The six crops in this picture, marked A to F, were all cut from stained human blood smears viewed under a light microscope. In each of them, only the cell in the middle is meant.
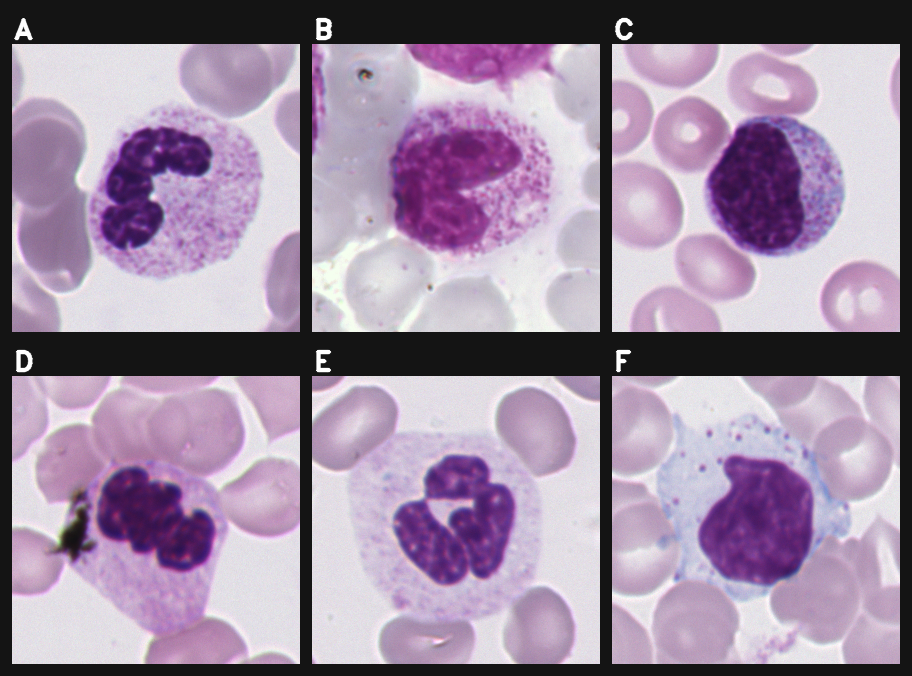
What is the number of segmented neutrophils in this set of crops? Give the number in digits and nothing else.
3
